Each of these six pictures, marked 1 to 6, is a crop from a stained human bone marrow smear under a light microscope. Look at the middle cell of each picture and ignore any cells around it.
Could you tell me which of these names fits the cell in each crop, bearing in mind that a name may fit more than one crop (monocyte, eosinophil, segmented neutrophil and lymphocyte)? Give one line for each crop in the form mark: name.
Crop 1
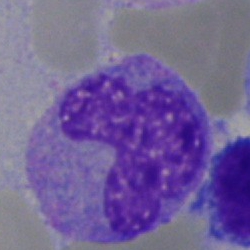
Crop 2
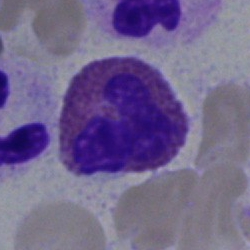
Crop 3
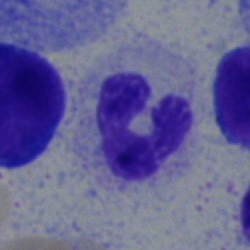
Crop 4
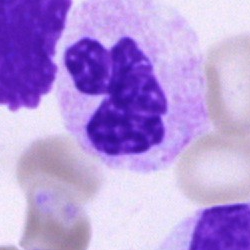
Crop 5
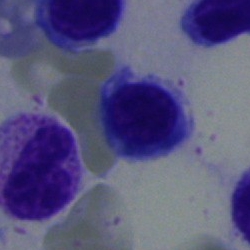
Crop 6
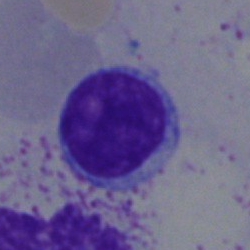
1: monocyte
2: eosinophil
3: segmented neutrophil
4: segmented neutrophil
5: lymphocyte
6: lymphocyte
